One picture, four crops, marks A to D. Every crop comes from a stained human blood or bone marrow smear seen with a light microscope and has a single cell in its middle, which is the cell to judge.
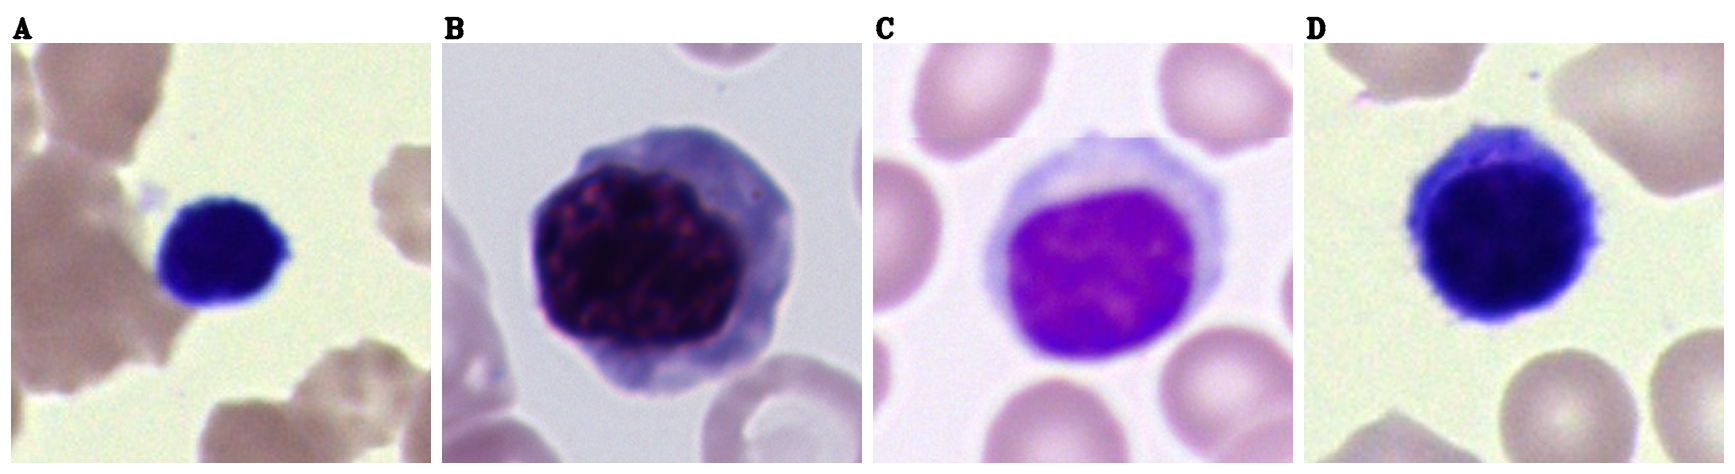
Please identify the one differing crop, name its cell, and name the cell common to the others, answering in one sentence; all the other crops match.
Of these crops, only crop B is an erythroblast; the others are lymphocytes.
